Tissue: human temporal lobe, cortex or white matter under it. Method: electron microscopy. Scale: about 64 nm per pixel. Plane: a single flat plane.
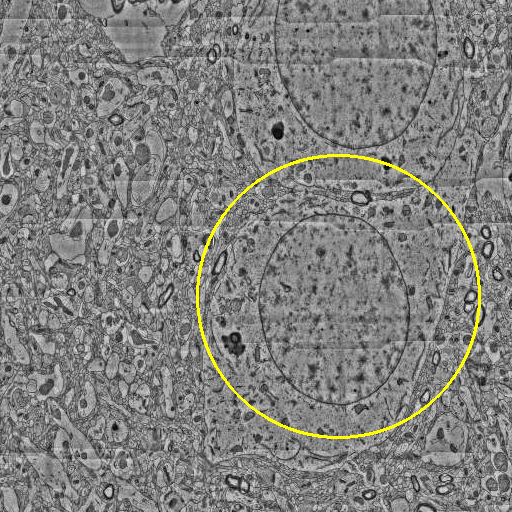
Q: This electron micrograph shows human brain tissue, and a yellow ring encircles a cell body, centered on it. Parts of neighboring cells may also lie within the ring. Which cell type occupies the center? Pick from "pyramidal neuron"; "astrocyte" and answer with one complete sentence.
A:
What sits at the ring's center in this micrograph is a pyramidal neuron, among those choices.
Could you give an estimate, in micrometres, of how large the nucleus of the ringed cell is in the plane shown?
In this plane, approximately 12 by 10 micrometers.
